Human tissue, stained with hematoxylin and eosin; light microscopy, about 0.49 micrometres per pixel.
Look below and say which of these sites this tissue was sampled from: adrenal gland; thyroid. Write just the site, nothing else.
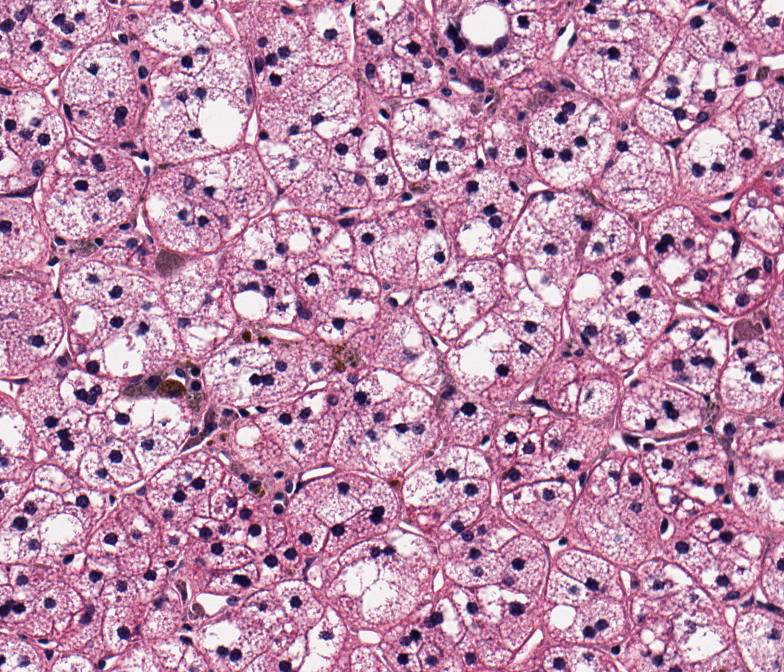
adrenal gland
